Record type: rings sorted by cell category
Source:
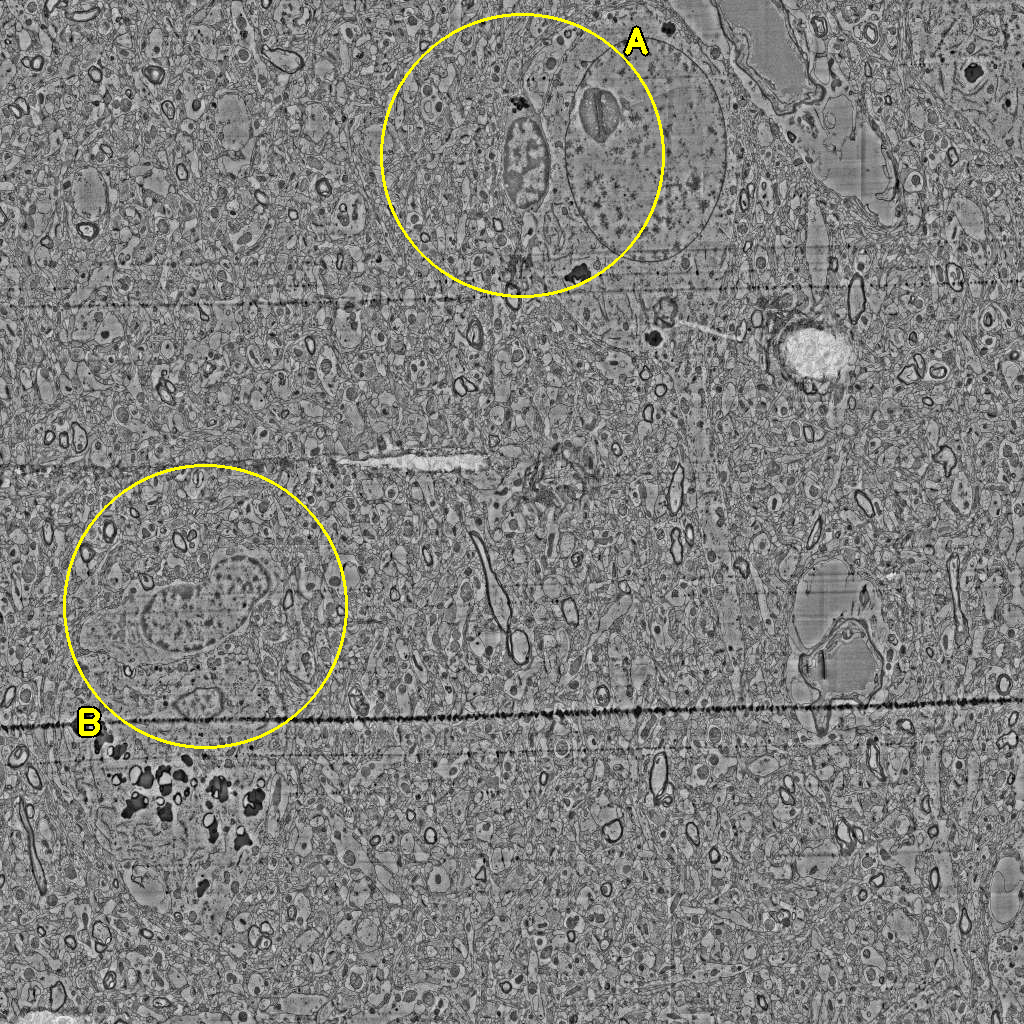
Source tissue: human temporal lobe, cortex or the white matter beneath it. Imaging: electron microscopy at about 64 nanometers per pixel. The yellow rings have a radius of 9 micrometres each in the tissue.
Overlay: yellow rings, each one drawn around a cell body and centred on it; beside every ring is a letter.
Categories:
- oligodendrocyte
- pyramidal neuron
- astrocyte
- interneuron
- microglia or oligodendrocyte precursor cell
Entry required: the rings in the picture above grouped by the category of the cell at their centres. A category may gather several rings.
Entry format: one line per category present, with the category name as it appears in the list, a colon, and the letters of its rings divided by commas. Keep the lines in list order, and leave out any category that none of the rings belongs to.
oligodendrocyte: A
microglia or oligodendrocyte precursor cell: B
